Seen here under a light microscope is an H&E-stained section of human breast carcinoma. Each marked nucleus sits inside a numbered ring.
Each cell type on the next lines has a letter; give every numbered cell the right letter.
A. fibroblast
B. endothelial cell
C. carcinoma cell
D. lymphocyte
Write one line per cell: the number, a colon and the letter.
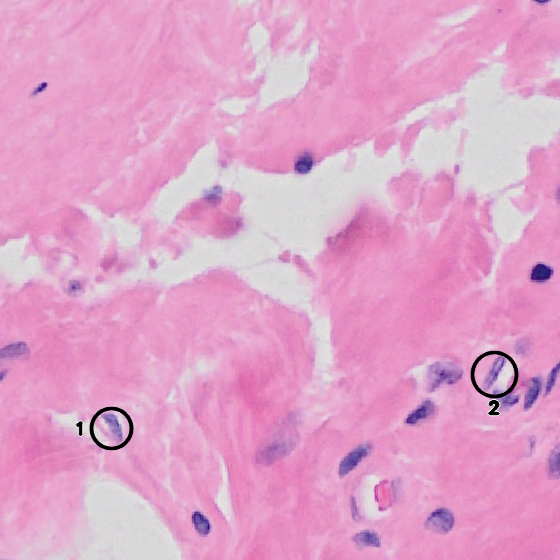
1: A
2: B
